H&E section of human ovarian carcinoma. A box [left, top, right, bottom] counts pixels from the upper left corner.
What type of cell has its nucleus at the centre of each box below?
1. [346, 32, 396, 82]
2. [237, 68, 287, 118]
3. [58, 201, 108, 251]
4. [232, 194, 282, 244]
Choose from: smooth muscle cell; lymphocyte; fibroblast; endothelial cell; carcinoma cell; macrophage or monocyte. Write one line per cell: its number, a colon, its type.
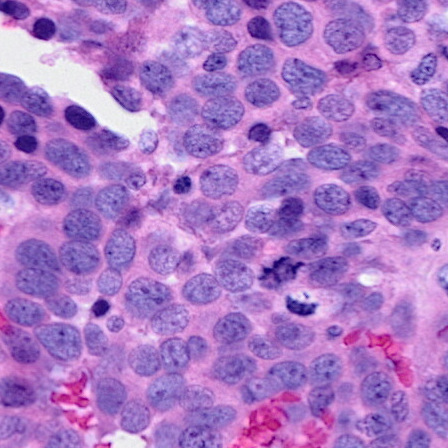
1: macrophage or monocyte
2: carcinoma cell
3: carcinoma cell
4: carcinoma cell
